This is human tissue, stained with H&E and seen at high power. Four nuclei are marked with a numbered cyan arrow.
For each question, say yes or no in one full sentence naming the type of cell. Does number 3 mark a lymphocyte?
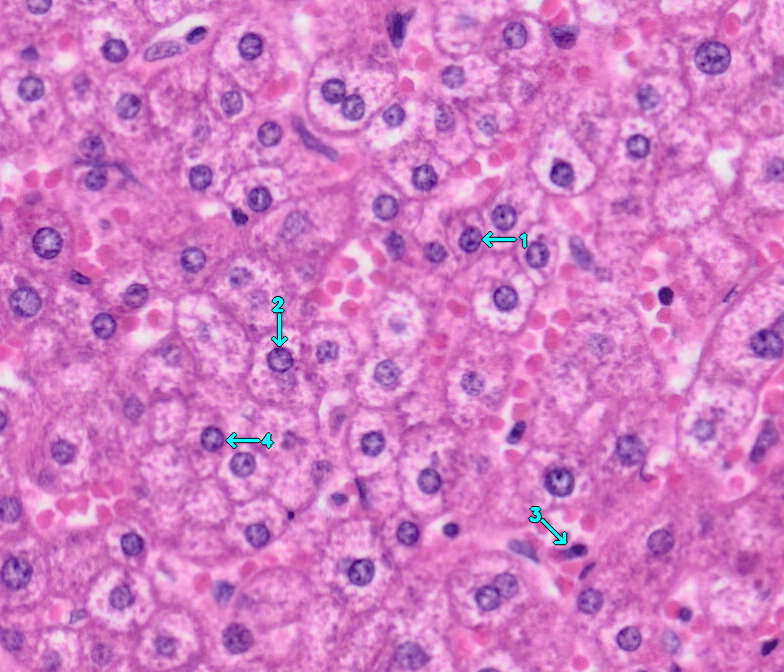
Yes, the cell numbered 3 in this tissue is a lymphocyte.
